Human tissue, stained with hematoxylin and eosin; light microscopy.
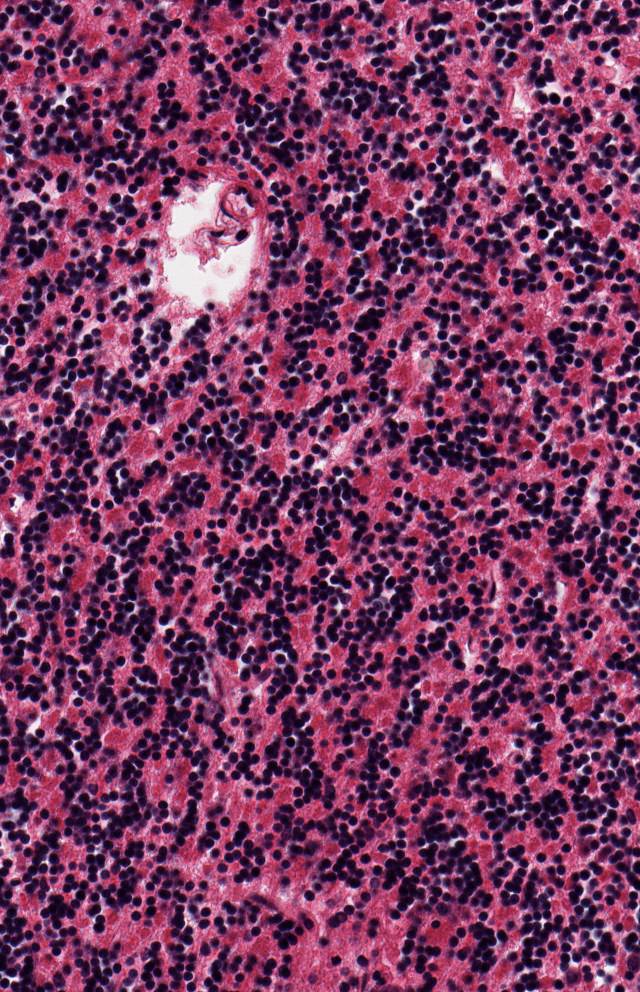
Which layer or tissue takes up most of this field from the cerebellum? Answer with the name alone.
granular layer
